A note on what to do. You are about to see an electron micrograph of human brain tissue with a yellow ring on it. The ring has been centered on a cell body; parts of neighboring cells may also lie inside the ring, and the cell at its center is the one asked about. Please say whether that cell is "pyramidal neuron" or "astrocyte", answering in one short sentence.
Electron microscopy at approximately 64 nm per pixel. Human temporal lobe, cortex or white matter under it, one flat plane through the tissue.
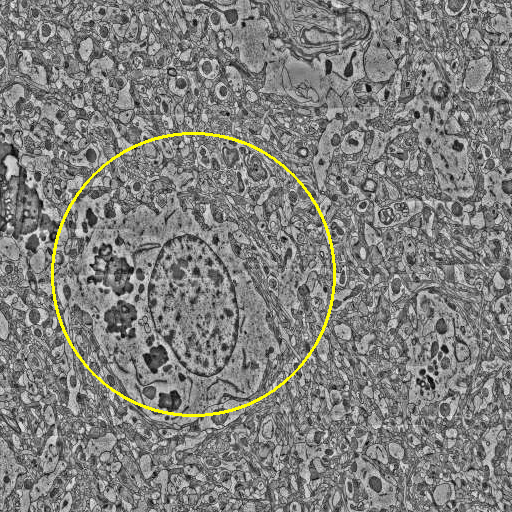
The yellow ring sits on an astrocyte.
